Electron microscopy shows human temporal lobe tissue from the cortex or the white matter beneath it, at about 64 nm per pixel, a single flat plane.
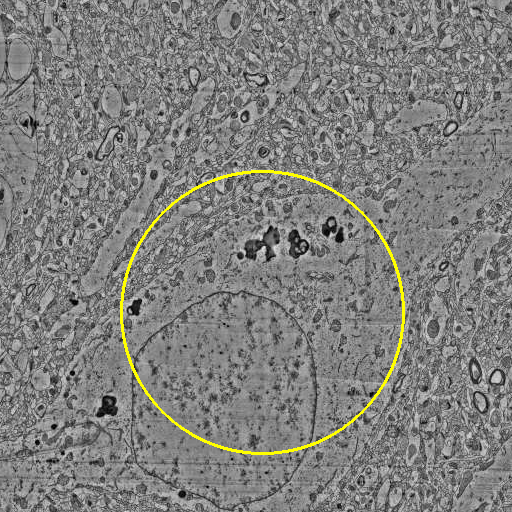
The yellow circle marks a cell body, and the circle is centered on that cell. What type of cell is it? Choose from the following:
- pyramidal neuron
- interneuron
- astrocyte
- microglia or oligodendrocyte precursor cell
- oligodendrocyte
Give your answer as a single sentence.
This cell body belongs to a pyramidal neuron.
